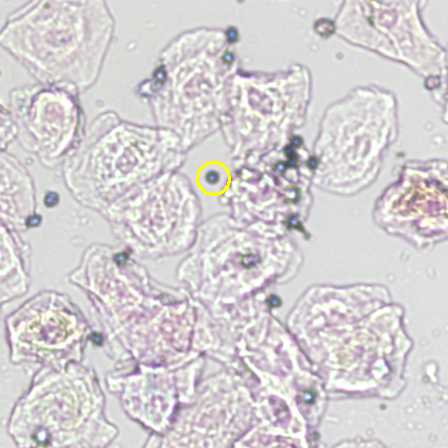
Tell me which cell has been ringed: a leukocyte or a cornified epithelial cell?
It is a leukocyte.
